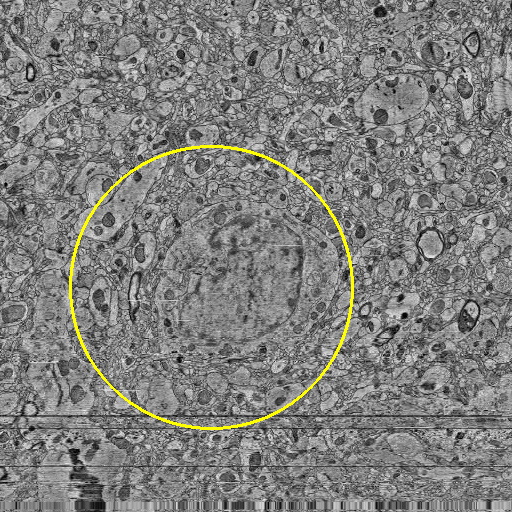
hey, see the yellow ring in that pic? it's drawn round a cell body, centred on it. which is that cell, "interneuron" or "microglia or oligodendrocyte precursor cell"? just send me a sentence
The cell in the ring is an interneuron.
